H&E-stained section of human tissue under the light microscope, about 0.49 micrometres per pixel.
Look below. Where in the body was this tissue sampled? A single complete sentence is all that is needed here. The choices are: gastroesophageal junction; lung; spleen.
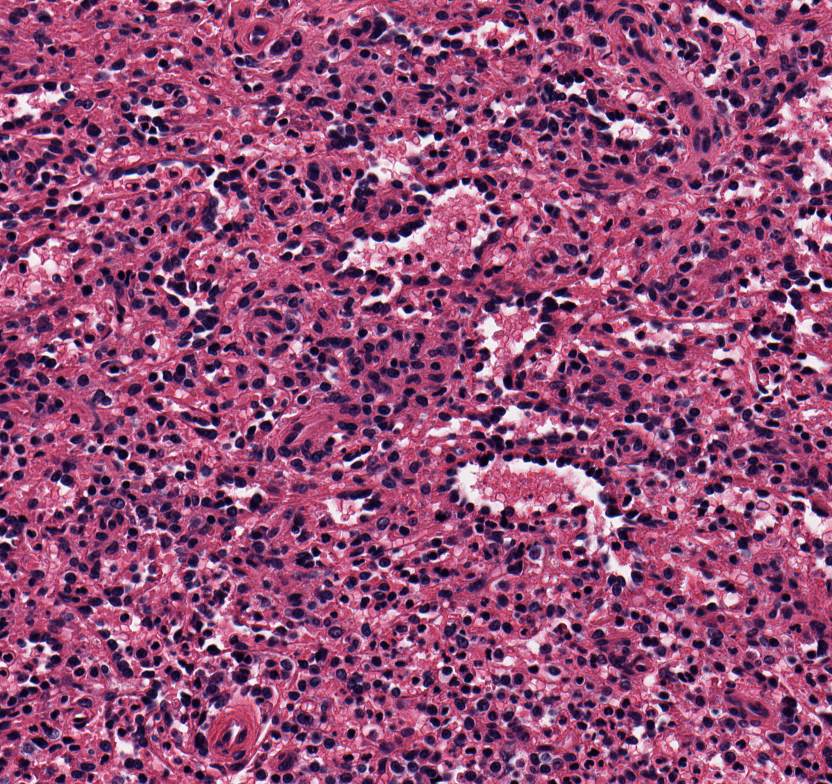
The tissue shown was sampled from the spleen.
